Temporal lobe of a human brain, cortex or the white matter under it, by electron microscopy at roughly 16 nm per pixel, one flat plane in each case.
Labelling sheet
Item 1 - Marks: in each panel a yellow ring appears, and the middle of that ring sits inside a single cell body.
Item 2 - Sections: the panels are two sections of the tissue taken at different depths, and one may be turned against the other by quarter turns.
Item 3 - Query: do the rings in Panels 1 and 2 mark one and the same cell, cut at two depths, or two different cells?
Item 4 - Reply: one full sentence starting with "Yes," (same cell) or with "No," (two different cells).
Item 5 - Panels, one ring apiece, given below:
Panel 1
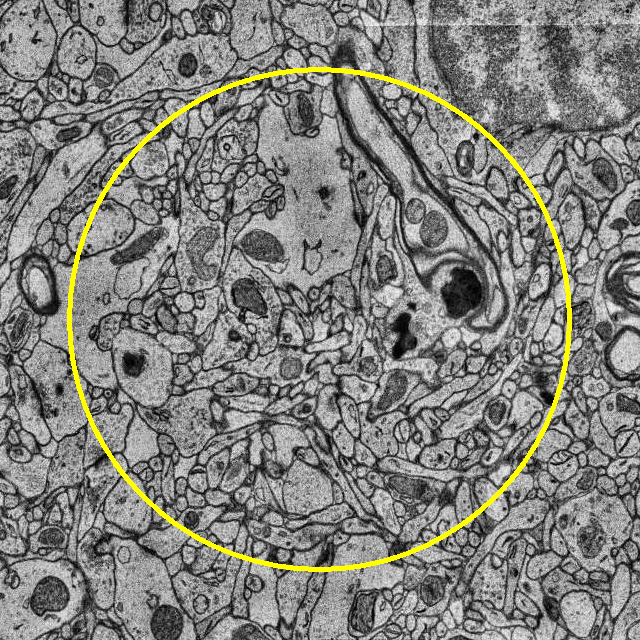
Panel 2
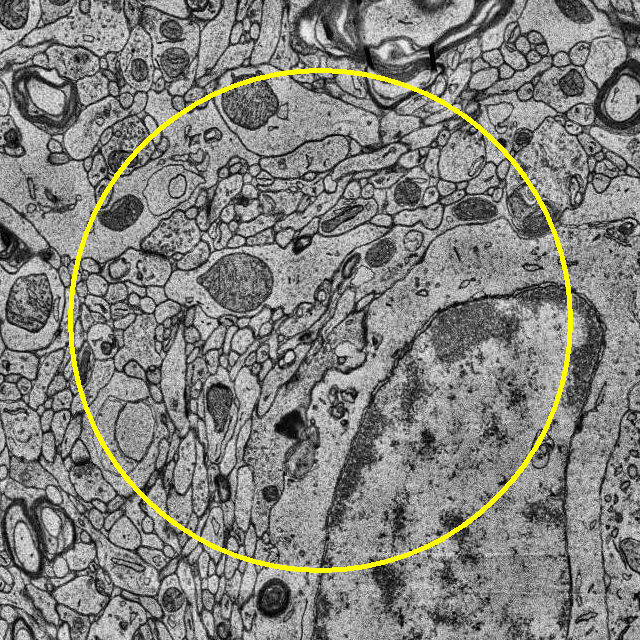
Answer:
No, these two rings belong to two distinct cells.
